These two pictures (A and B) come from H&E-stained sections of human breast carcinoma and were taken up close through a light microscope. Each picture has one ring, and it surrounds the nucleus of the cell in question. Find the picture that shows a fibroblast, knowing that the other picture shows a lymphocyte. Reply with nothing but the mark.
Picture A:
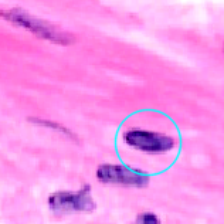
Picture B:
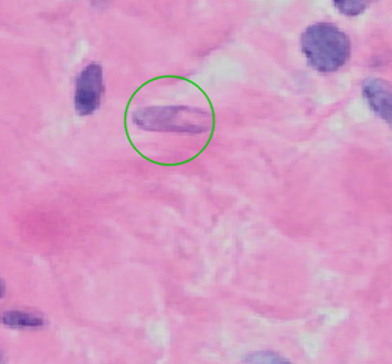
B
